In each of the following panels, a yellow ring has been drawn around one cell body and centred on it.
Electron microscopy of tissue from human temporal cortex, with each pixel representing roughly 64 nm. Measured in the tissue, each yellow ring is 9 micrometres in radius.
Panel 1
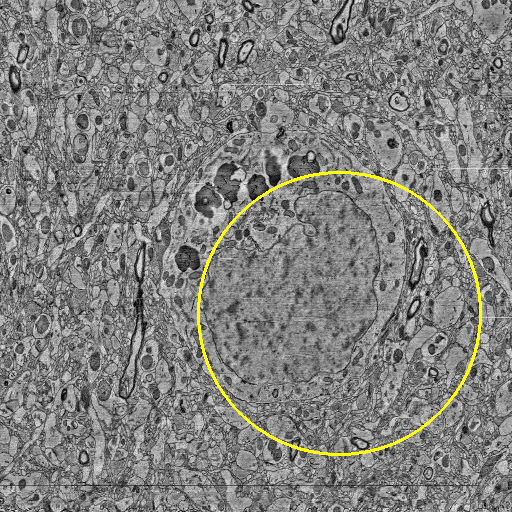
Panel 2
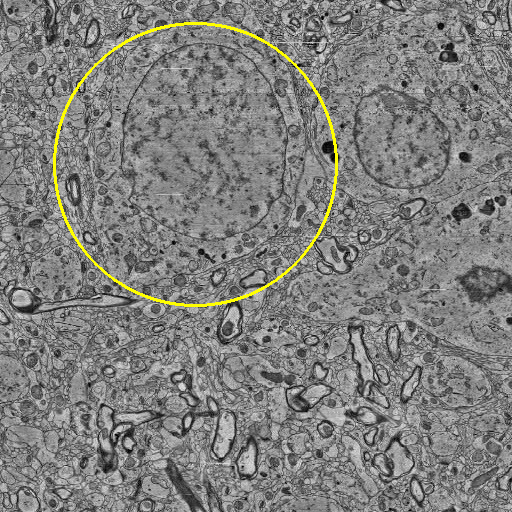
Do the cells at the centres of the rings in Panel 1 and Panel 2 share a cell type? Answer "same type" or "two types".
two types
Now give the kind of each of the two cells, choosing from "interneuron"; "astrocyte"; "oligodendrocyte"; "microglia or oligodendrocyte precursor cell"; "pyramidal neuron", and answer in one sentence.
The cell in the first picture is an interneuron, and the cell in the second is a pyramidal neuron.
